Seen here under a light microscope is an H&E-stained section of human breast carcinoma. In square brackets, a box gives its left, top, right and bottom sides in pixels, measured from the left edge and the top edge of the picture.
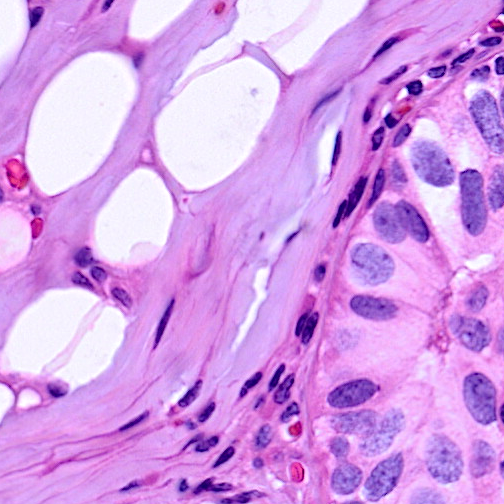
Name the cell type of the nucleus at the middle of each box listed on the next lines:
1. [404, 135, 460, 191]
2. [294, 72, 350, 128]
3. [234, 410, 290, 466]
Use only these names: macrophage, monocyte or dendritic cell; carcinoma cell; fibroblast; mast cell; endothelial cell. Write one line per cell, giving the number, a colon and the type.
1: carcinoma cell
2: fibroblast
3: endothelial cell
